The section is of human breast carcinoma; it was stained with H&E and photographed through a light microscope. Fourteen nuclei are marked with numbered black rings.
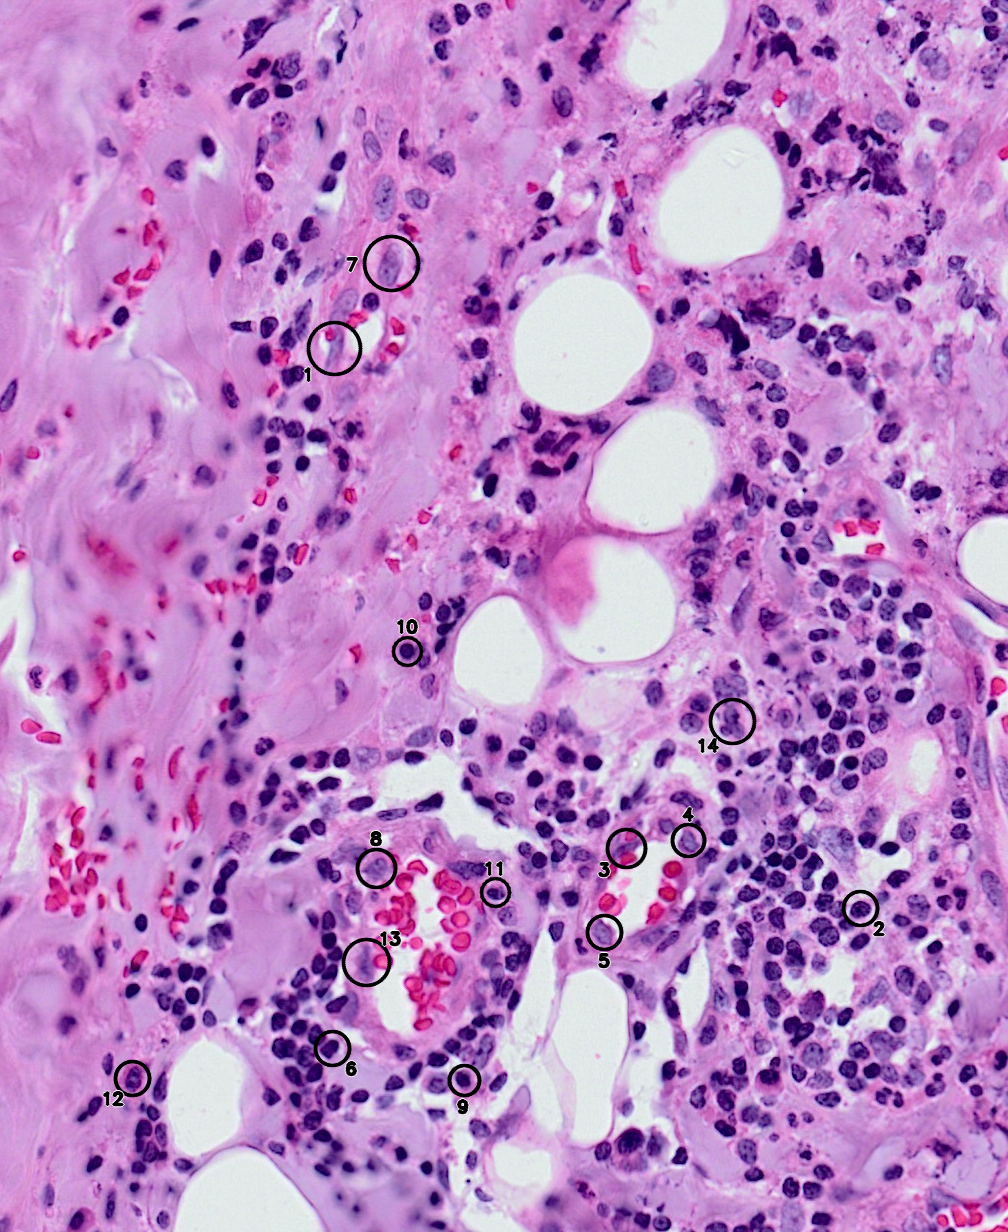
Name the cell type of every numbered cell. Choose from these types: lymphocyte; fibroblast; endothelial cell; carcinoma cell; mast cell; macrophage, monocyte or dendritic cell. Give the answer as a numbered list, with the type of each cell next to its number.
1. endothelial cell
2. lymphocyte
3. endothelial cell
4. endothelial cell
5. endothelial cell
6. lymphocyte
7. endothelial cell
8. endothelial cell
9. lymphocyte
10. lymphocyte
11. lymphocyte
12. mast cell
13. endothelial cell
14. macrophage, monocyte or dendritic cell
